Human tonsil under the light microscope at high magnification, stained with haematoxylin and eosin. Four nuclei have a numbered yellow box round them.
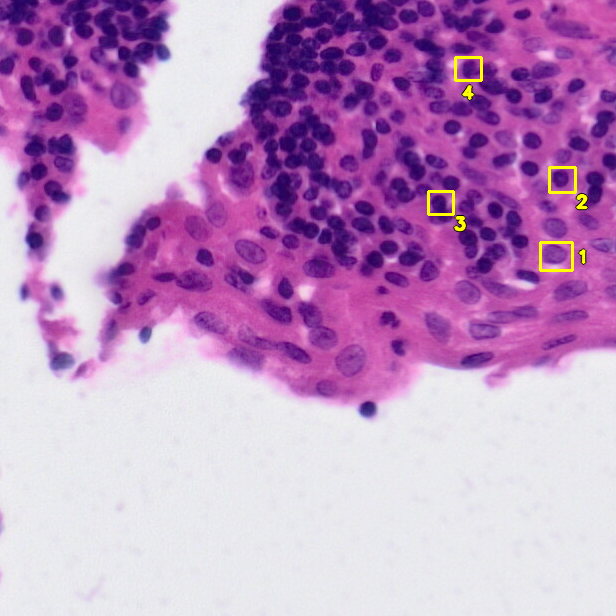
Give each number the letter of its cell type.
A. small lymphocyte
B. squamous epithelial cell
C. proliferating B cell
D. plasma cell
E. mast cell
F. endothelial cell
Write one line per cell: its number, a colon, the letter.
1: B
2: D
3: D
4: D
